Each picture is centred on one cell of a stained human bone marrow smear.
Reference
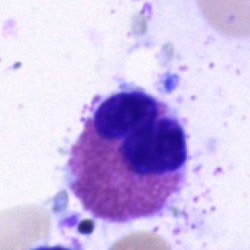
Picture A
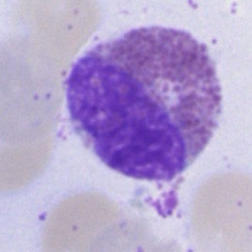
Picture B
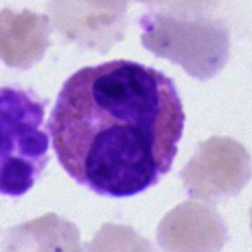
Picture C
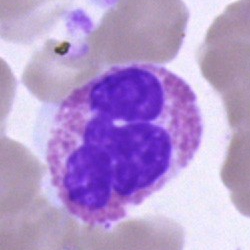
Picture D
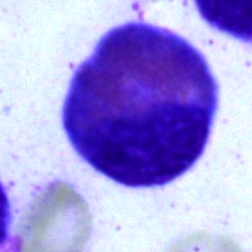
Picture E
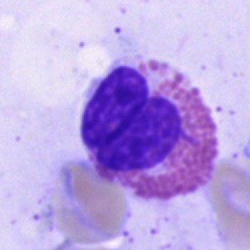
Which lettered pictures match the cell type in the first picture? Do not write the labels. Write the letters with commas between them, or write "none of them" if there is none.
A, B, C, D, E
